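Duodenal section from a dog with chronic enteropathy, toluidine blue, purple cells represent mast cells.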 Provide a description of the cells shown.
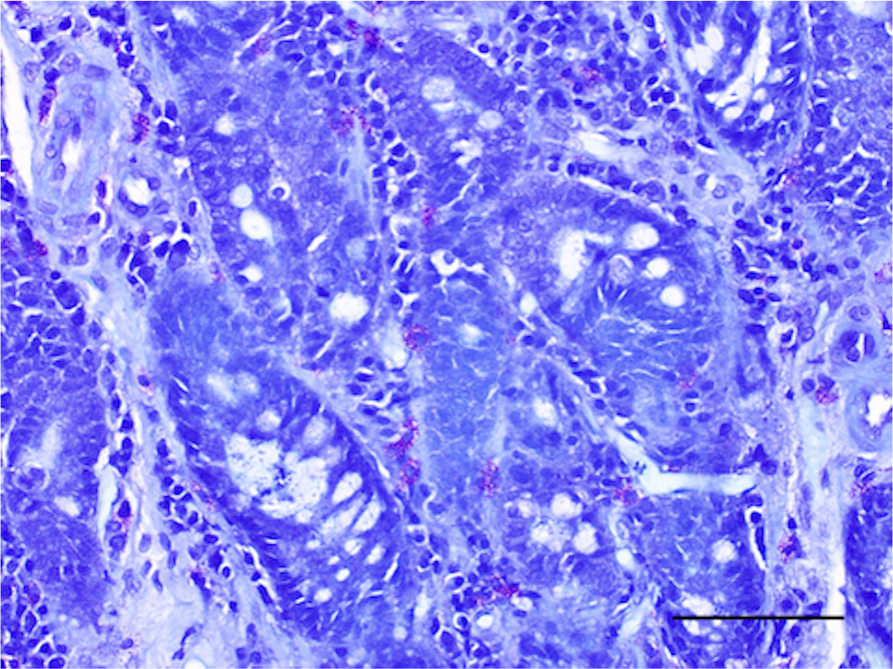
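Intestinal mucosa is cut so that several glands appear in cross and oblique section. They are lined by tall columnar epithelium with crowded, elongated nuclei, and pale round clear vacuoles lie among these cells. The connective tissue between the glands is densely packed with small cells that have round, dark blue nuclei. Scattered through this connective tissue, and not within the epithelium, are cells filled with purple to reddish granules. These granules stand out against the otherwise blue-stained section. The purple cells are scattered singly or in small groups.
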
